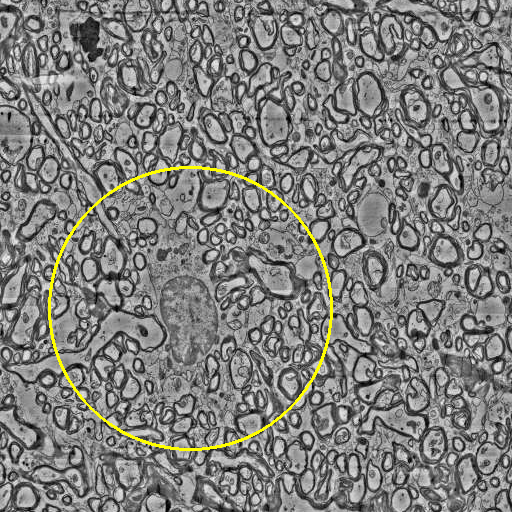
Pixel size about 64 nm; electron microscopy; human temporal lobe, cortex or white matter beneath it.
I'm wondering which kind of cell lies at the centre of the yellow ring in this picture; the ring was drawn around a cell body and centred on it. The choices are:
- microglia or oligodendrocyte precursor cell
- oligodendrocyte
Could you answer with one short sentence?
At the centre of the ring lies an oligodendrocyte.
